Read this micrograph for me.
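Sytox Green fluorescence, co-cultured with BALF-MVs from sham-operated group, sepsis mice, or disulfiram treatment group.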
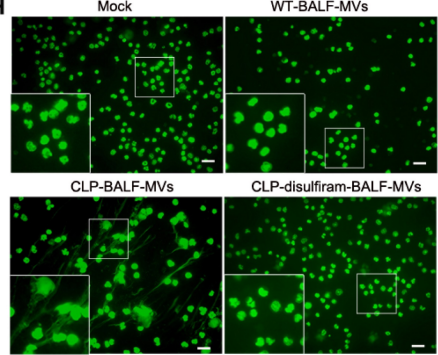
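In most fields the cells are round to slightly irregular and lie separate. In one field many cells are spread and ragged, with hazy green material around them, and long fine green strands stretch across the field between cells and link them.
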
